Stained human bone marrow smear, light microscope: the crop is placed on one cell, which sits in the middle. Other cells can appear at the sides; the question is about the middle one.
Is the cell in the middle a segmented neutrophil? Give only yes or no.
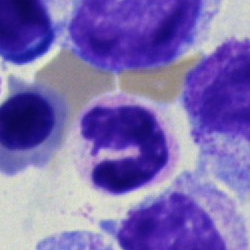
yes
